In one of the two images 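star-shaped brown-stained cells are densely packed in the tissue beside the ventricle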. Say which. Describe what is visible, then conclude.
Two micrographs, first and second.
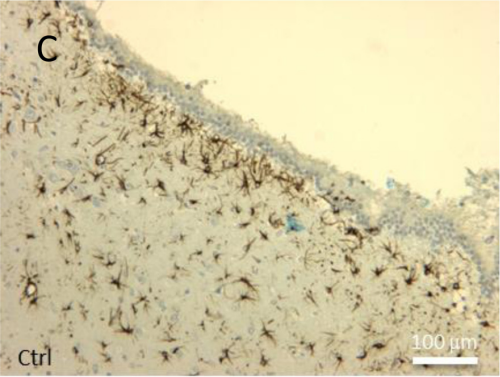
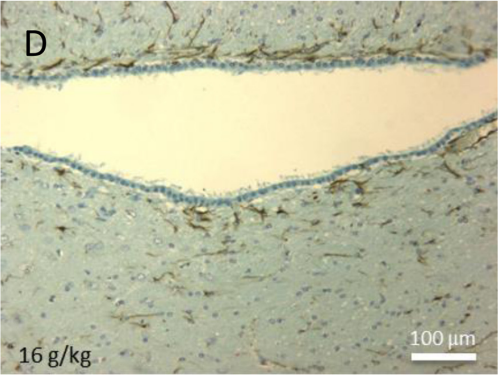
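The first image. Second image: only sparse thin brown fibres and few brown cells lie under the ventricular lining. First image: many brown star-shaped cells with dense processes crowd the tissue along the ventricle.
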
